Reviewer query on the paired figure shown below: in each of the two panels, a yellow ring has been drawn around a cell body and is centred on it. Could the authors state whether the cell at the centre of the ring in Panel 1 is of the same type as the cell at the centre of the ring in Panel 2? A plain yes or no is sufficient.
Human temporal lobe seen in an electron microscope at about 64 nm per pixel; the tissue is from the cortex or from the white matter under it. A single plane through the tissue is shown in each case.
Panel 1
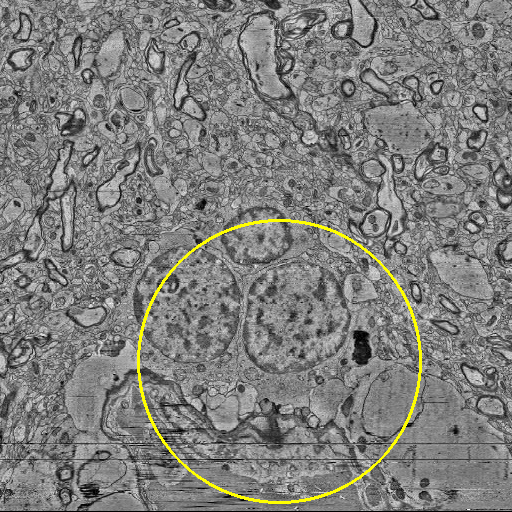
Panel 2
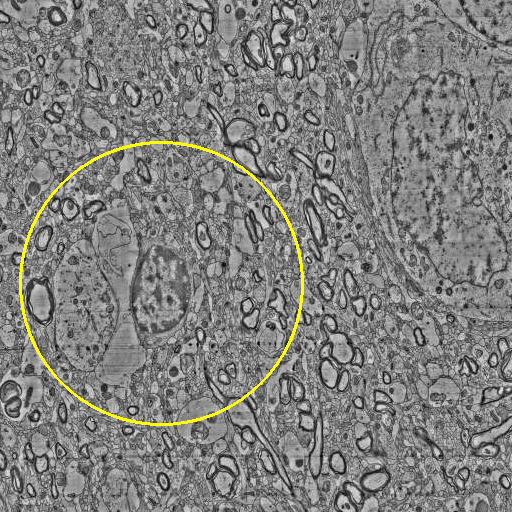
yes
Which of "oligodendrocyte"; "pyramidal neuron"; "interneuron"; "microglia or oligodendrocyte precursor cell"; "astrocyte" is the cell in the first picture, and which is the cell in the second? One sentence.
Both cells are the same kind, each one being an oligodendrocyte.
